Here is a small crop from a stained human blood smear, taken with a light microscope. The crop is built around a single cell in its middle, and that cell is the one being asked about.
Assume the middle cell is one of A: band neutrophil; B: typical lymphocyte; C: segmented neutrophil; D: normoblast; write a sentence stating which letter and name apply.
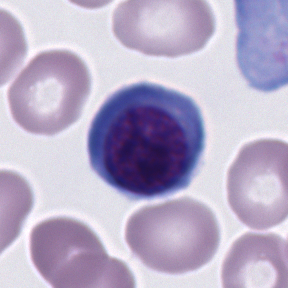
With the cell in the middle being a normoblast, option D is the correct choice.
